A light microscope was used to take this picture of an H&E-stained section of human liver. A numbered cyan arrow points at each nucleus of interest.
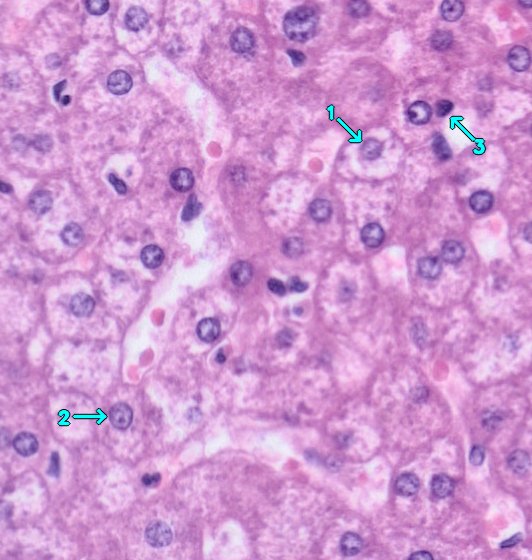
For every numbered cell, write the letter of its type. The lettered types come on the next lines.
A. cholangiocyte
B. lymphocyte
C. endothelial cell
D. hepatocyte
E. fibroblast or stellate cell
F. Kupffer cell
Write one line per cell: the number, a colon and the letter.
1: D
2: D
3: E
